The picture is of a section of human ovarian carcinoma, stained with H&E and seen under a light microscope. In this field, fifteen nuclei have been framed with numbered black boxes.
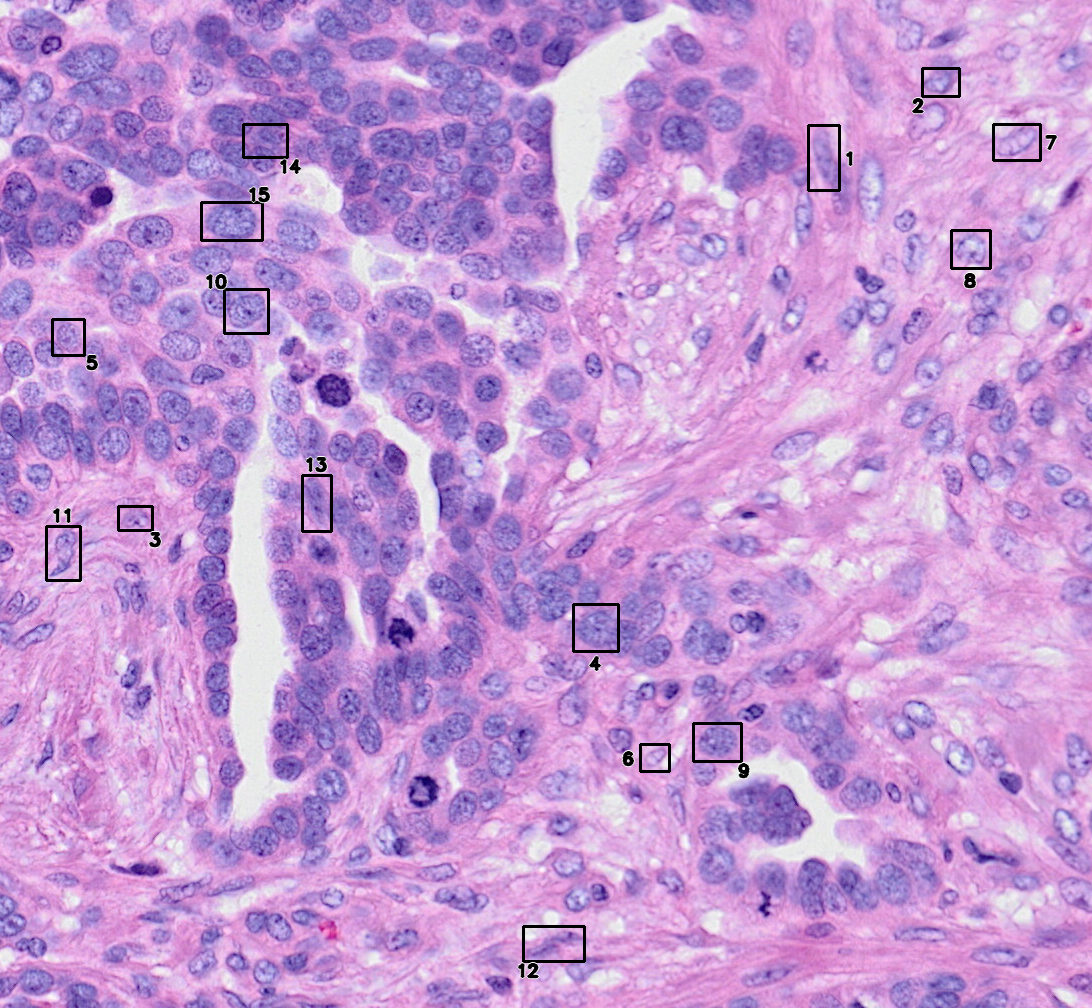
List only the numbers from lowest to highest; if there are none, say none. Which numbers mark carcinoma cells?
4, 5, 9, 10, 13, 14, 15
